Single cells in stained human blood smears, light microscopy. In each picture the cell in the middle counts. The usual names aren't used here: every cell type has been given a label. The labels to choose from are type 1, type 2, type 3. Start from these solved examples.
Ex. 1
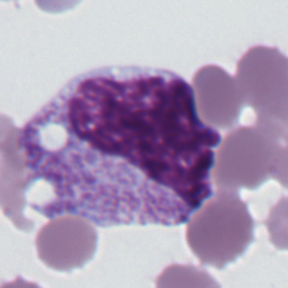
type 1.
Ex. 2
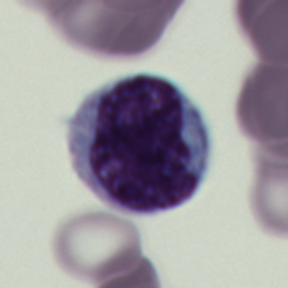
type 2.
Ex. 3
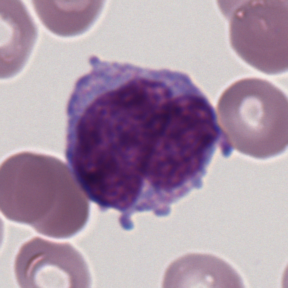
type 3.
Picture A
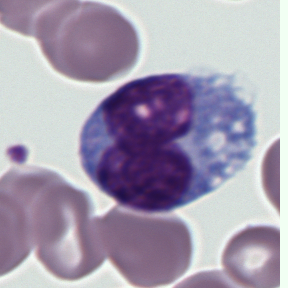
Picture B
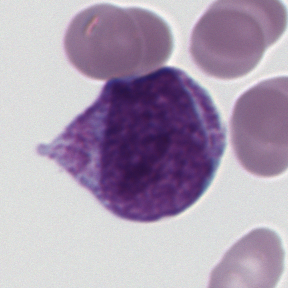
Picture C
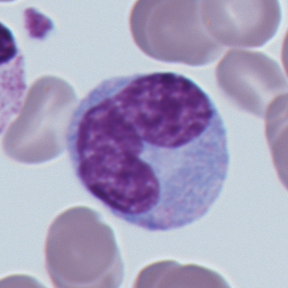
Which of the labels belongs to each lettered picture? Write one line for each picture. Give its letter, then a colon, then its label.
A: type 2.
B: type 3.
C: type 2.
